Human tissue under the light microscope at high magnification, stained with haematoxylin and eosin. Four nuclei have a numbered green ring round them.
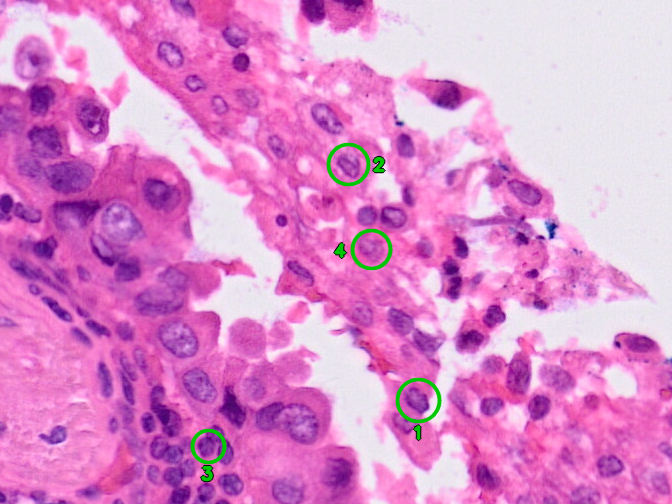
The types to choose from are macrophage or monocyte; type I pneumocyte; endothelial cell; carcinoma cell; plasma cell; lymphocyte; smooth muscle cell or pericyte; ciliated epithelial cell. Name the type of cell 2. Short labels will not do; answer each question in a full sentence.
The label 2 in this section denotes a macrophage or monocyte.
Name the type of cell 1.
Cell number 1 in this section is a macrophage or monocyte.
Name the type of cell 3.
The numeral 3 marks a lymphocyte in this section.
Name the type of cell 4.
The identity of cell 4 is that of a macrophage or monocyte.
